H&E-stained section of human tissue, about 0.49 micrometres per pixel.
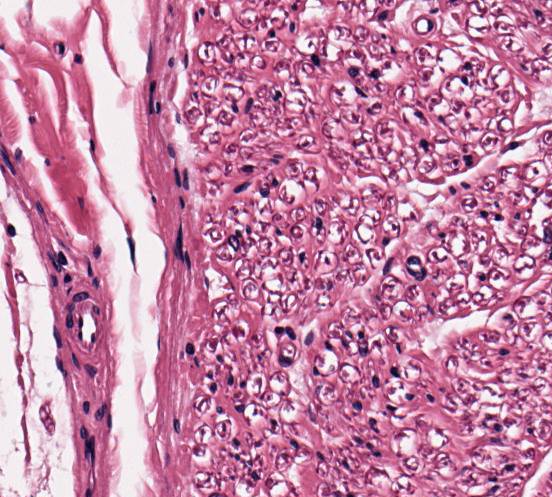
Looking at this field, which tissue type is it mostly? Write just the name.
nerve fascicle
